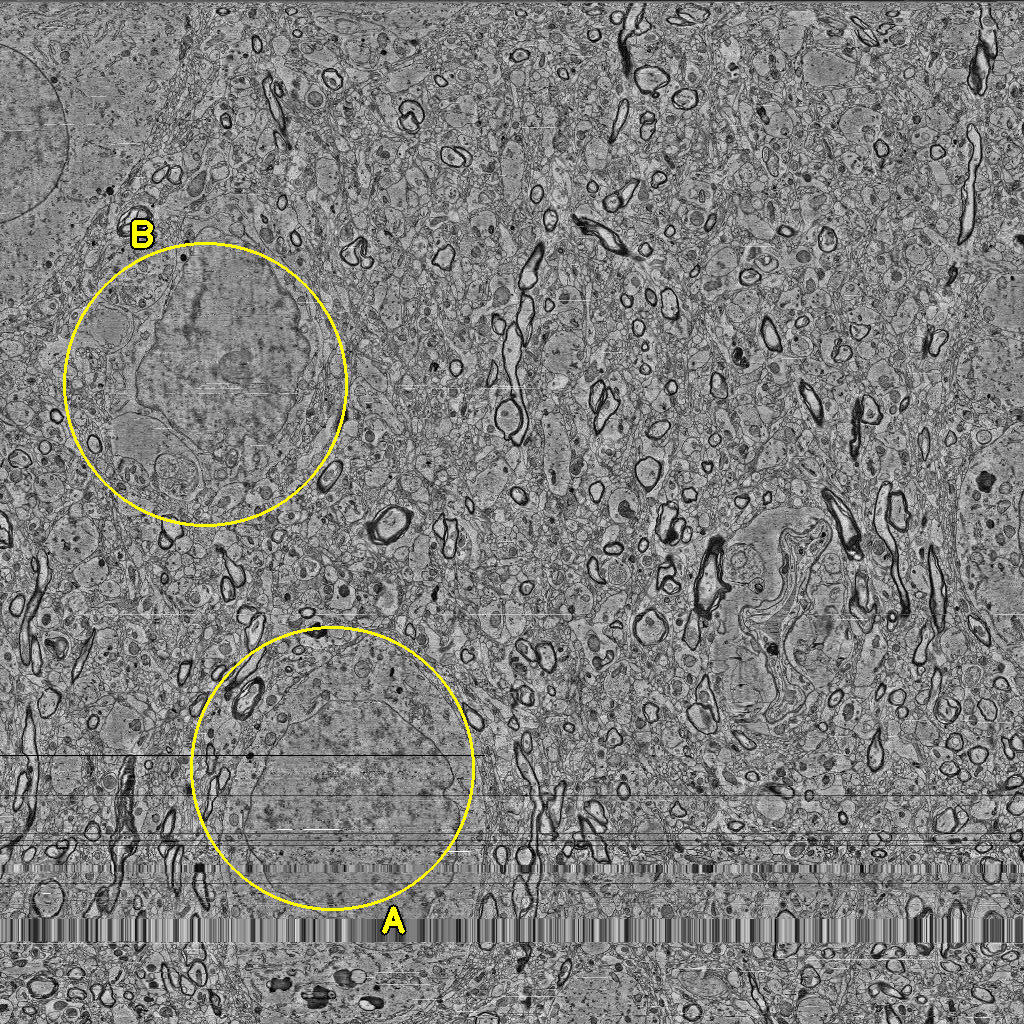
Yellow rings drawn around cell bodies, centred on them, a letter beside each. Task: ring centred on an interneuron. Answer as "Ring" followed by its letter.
Ring B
